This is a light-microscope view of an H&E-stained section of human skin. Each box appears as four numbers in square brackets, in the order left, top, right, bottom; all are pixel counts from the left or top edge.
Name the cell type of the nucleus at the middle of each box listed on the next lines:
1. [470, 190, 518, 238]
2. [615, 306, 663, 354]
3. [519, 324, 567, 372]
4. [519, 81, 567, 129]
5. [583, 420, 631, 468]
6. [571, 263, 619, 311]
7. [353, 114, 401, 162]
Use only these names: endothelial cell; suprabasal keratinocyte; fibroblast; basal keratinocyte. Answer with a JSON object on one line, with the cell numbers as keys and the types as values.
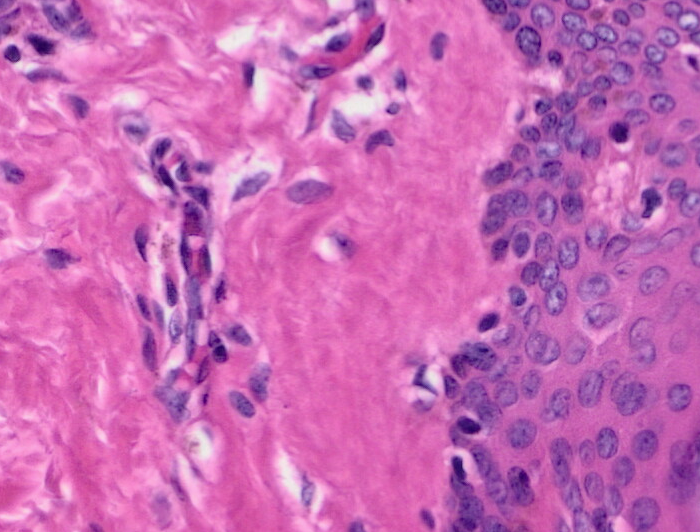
{"1": "basal keratinocyte", "2": "suprabasal keratinocyte", "3": "suprabasal keratinocyte", "4": "basal keratinocyte", "5": "suprabasal keratinocyte", "6": "suprabasal keratinocyte", "7": "fibroblast"}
